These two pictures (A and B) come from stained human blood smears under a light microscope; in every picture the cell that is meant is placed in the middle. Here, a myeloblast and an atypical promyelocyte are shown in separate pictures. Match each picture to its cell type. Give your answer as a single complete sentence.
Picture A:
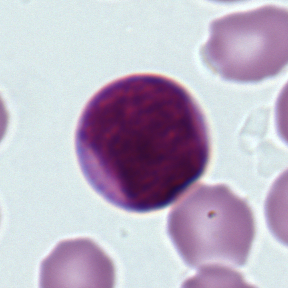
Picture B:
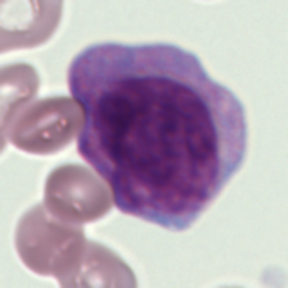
Picture A is of a myeloblast, and picture B is of an atypical promyelocyte.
